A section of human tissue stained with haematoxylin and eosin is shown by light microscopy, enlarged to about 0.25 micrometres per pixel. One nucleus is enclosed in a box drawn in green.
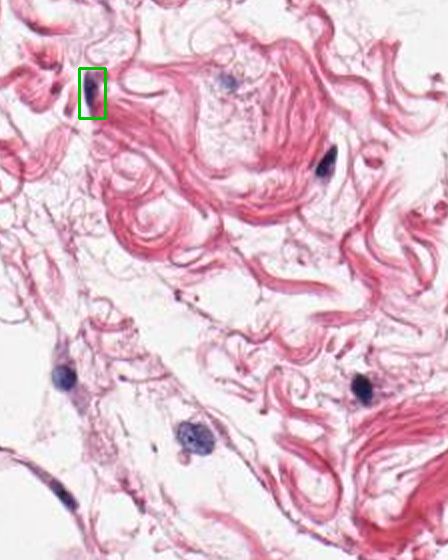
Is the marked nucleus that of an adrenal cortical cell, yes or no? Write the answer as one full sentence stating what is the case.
No, not to an adrenal cortical cell does the marked nucleus belong, but to a supporting cell.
